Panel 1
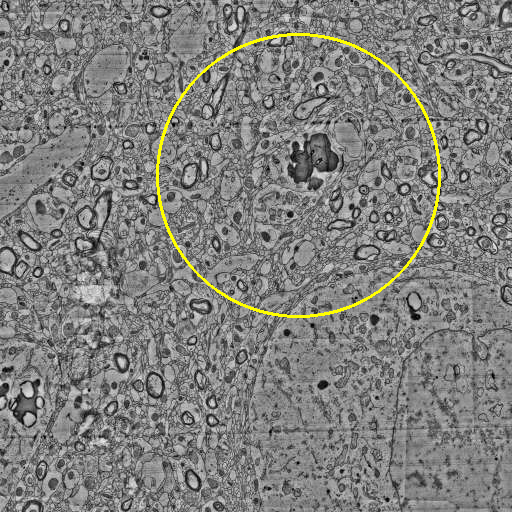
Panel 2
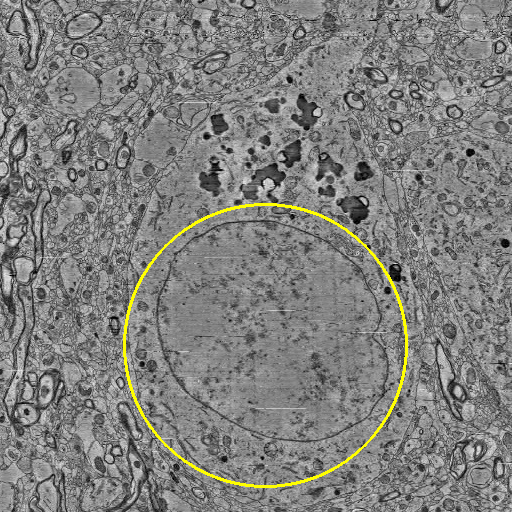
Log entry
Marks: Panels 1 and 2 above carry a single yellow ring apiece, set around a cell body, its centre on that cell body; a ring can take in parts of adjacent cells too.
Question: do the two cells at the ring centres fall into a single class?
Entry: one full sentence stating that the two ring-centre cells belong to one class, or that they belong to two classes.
The two ring-centre cells in Panels 1 and 2 belong to two classes.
